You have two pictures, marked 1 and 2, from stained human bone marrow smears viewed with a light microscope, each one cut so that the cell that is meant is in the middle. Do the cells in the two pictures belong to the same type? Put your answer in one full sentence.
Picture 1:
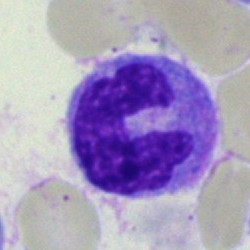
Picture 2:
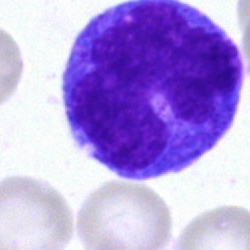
Yes, both cells are monocytes.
